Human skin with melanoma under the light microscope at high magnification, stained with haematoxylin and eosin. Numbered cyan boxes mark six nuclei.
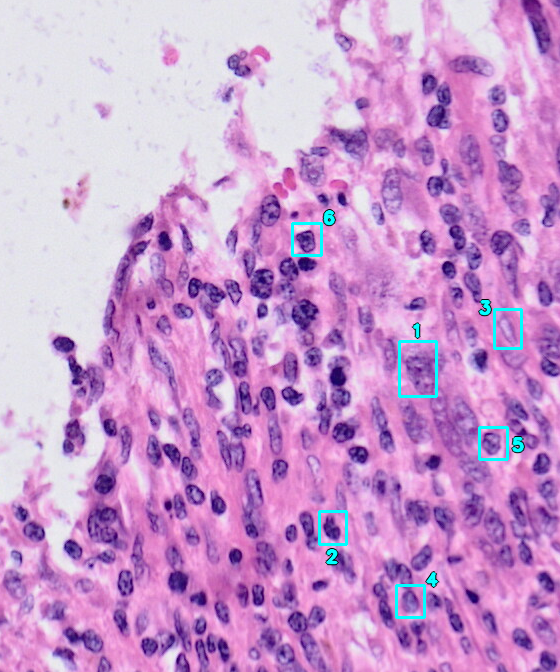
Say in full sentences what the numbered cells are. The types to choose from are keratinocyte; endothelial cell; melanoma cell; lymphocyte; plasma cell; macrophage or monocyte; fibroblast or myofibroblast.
Cell 1 is a melanoma cell. Cells 2, 4, 5 and 6 are lymphocytes. Cell 3 is an endothelial cell.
